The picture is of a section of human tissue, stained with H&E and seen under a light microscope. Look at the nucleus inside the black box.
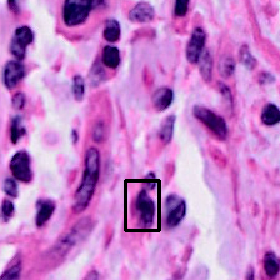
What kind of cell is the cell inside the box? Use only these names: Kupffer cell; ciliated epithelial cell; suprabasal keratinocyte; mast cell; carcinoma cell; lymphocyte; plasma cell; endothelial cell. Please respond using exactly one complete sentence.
What the cell inside the box represents is a lymphocyte.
